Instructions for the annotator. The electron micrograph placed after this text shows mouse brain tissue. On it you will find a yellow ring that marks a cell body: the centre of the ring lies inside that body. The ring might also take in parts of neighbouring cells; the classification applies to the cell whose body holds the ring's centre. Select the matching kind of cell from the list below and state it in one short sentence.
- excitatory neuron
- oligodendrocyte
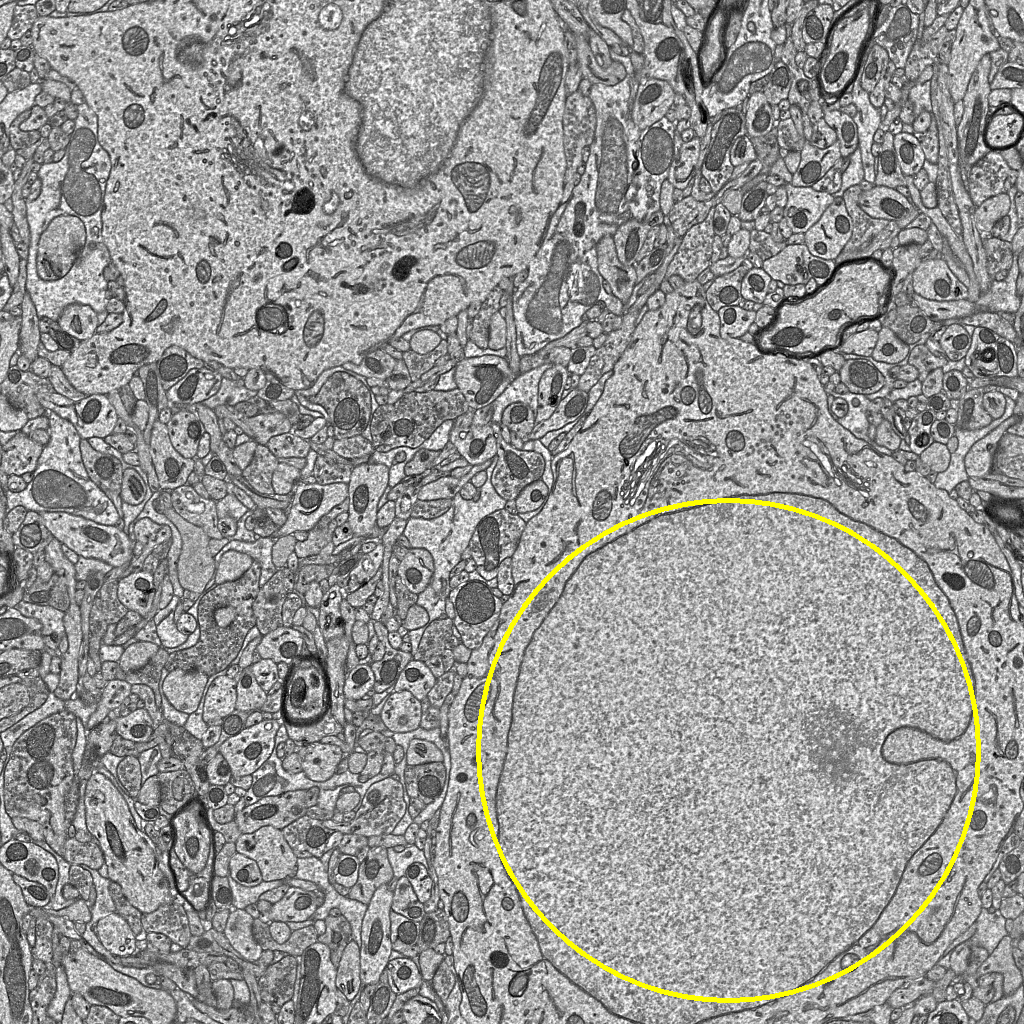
The centre of the ring lies in the cell body of an excitatory neuron.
